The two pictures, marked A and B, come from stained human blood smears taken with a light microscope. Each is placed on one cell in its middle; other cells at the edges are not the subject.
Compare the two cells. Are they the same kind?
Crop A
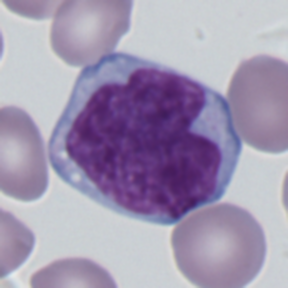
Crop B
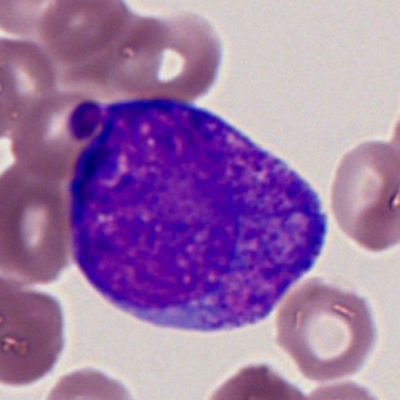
yes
